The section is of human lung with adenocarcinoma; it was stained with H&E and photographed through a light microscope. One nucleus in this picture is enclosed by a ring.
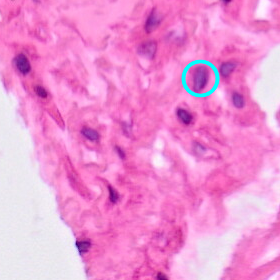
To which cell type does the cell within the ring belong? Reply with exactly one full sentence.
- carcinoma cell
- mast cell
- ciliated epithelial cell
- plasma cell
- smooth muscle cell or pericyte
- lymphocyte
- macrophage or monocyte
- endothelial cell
As a matter of cell type, the cell within the ring is a smooth muscle cell or pericyte.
